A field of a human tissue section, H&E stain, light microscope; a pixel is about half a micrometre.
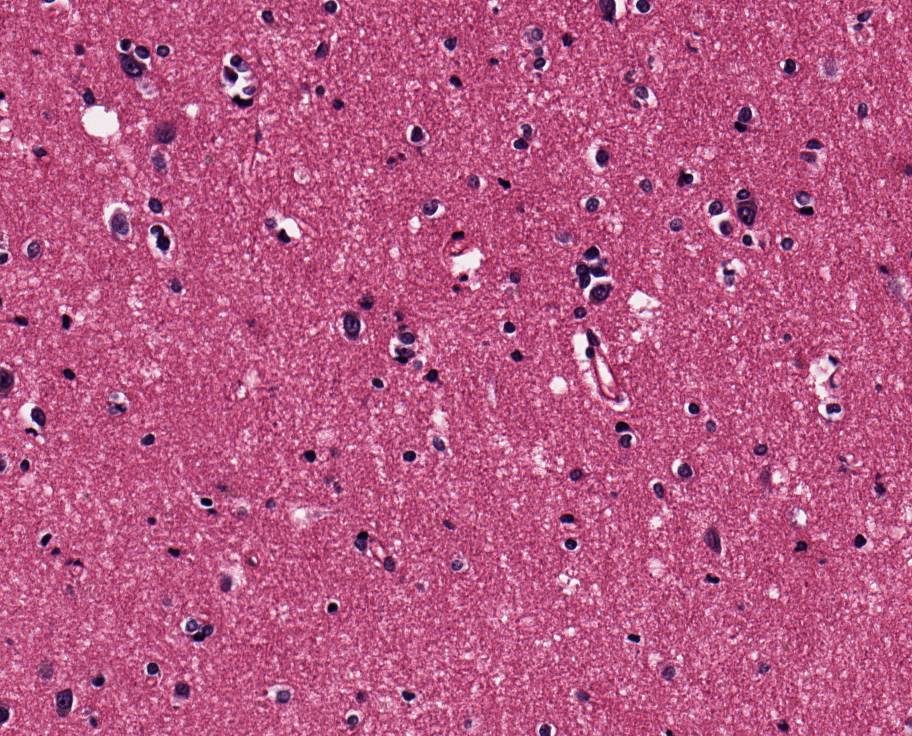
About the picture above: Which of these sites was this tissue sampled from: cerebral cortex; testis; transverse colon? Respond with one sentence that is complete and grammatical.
The tissue on this slide is from the cerebral cortex.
